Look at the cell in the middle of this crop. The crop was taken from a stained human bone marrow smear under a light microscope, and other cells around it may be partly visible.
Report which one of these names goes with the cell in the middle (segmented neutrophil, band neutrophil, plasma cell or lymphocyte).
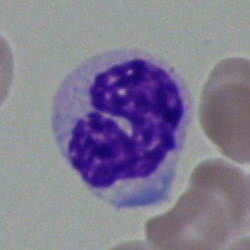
segmented neutrophil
